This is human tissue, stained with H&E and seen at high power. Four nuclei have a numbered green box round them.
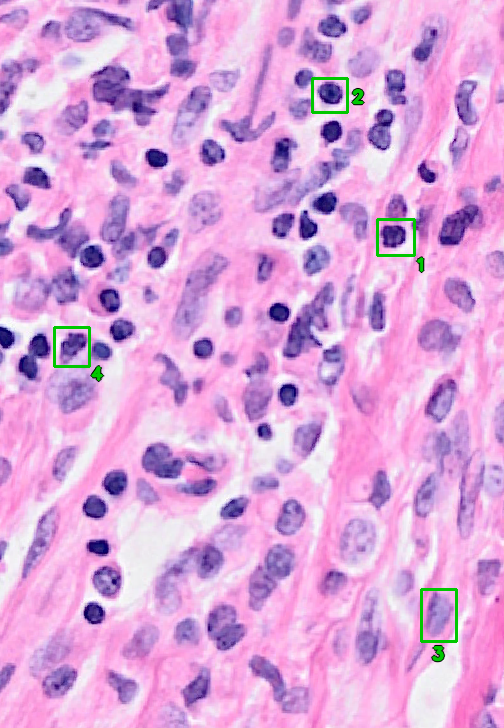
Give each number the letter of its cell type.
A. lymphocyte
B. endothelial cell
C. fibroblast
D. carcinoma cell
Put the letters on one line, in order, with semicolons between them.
A; A; B; A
